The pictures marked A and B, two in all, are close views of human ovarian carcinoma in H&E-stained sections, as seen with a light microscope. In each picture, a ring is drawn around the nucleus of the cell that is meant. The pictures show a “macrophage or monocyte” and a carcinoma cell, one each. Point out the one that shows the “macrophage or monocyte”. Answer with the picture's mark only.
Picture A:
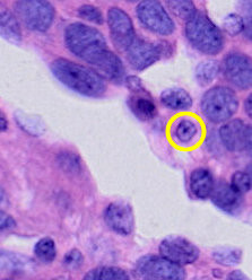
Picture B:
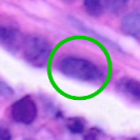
A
